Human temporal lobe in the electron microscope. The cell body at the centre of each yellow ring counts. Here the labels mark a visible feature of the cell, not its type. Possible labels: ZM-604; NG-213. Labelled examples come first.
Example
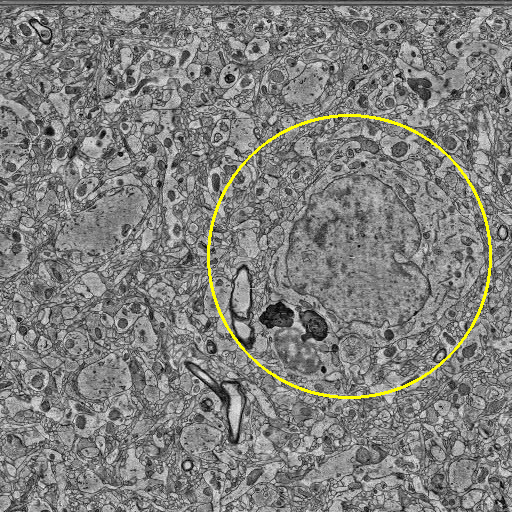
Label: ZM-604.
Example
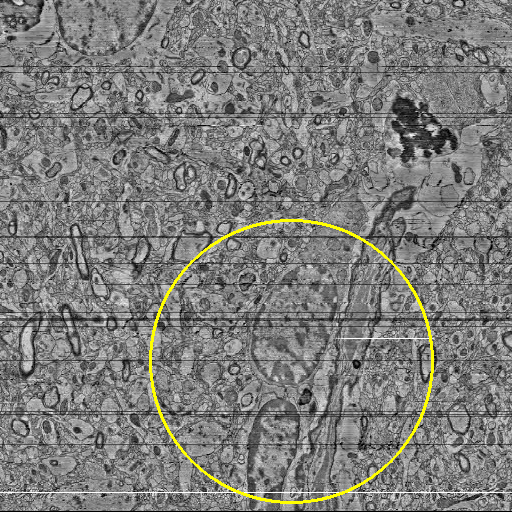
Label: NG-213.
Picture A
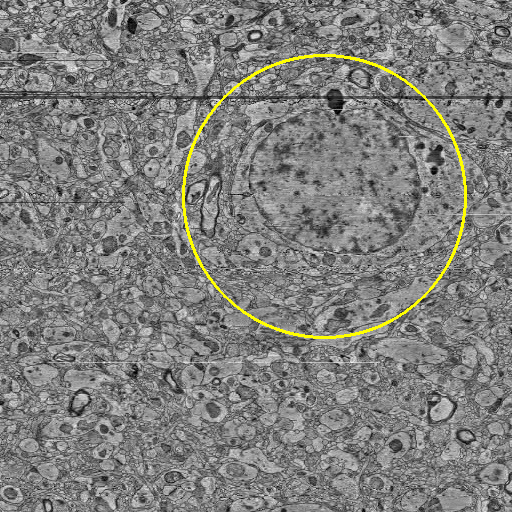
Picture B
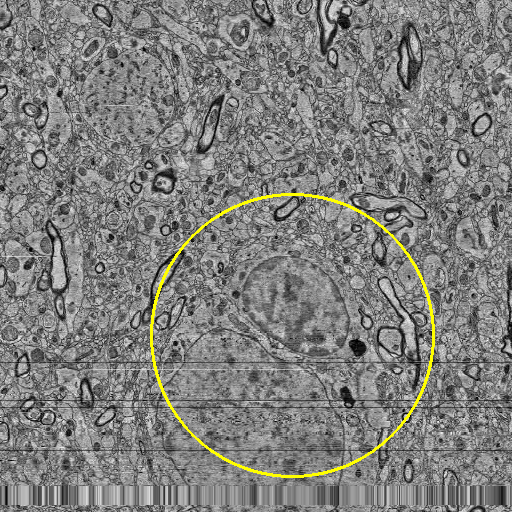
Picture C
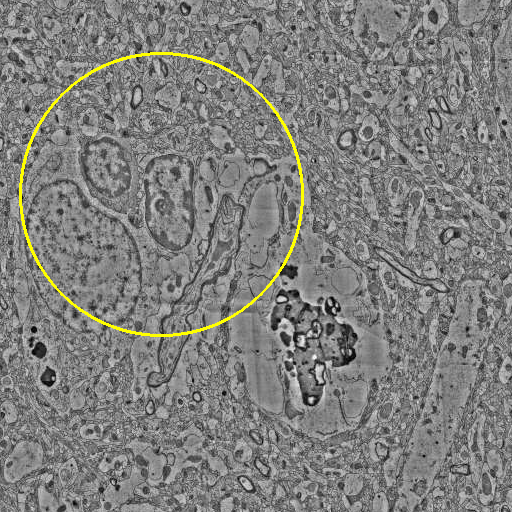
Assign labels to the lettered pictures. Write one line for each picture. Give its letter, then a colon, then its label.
A: NG-213.
B: NG-213.
C: NG-213.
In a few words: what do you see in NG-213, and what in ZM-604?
In NG-213: smooth nuclear envelopes without deep folds. In ZM-604: deeply folded or indented nuclear envelopes.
